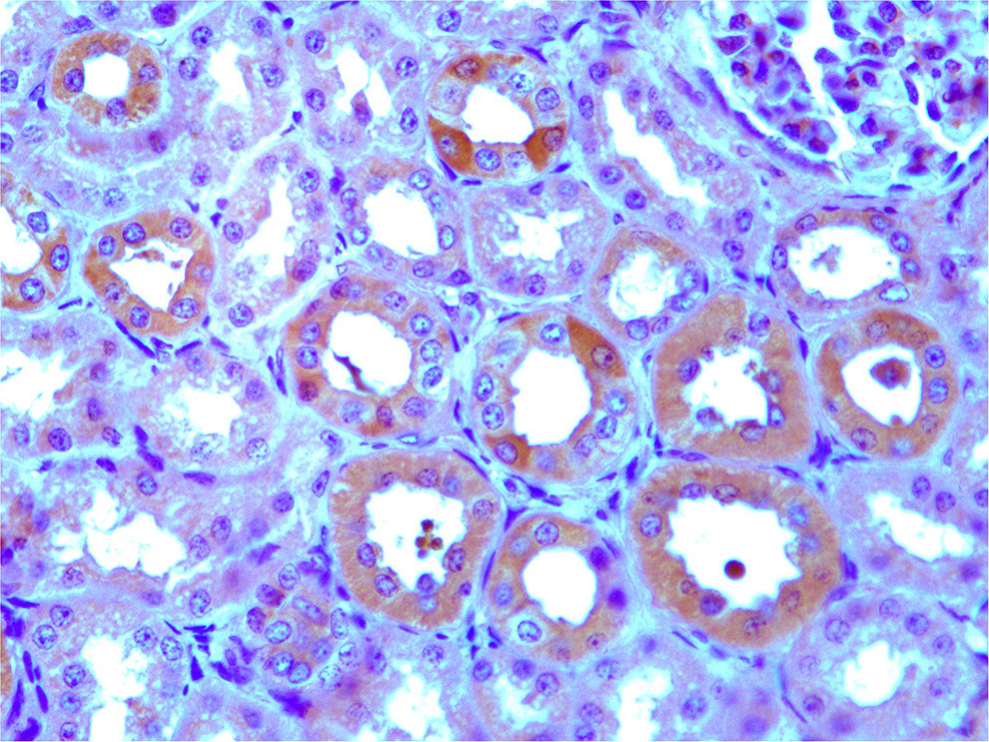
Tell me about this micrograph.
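Kidney tissue with many tubules cut in cross section, each lined by a single layer of cuboidal epithelial cells with round, centrally placed nuclei around an open lumen. In a number of tubules the epithelial cytoplasm is stained brown, while neighbouring tubules have pale pink-violet cytoplasm. A glomerulus with crowded nuclei lies at the upper right corner, and thin interstitium with elongated nuclei runs between the tubules.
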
